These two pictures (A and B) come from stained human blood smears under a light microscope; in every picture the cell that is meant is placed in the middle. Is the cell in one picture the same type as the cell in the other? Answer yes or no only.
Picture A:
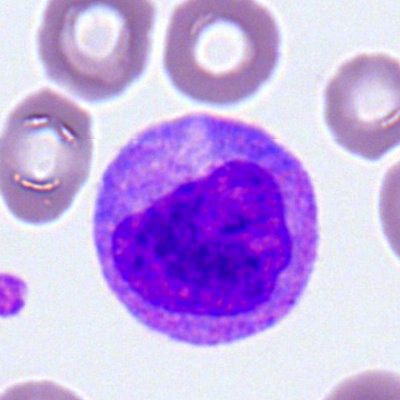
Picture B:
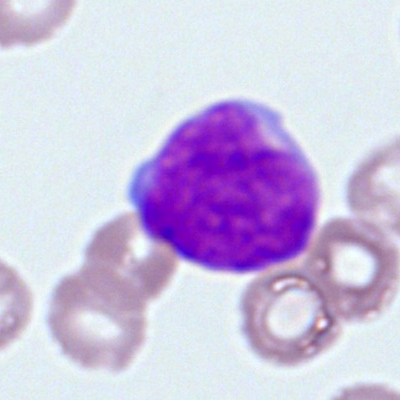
no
